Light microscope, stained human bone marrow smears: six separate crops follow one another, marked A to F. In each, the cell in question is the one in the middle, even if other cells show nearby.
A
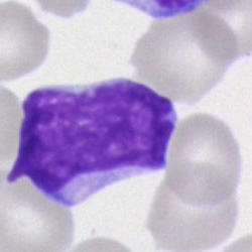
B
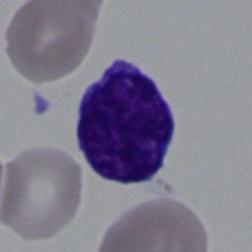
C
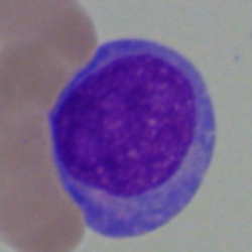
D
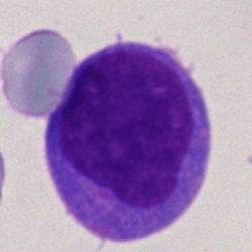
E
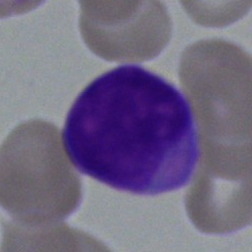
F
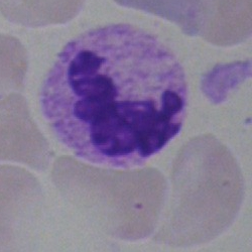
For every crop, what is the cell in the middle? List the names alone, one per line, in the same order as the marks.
blast
blast
blast
blast
blast
segmented neutrophil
